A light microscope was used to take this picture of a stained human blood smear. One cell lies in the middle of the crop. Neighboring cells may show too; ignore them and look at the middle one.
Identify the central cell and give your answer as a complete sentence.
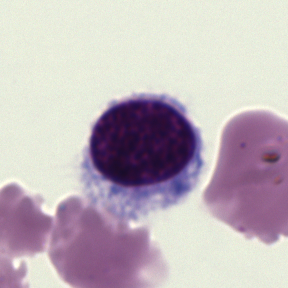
The cell that lies at the centre of the crop is a hairy cell.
